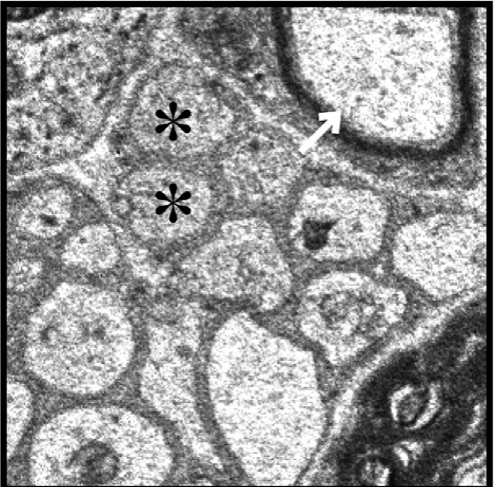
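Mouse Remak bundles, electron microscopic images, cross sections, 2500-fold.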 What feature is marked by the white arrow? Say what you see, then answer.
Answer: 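The arrow points into a large pale profile bounded by a thick dark band. The dark band is much thicker than the thin rims around the neighbouring profiles. The answer: large diameter axons surrounded with myelin sheaths.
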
